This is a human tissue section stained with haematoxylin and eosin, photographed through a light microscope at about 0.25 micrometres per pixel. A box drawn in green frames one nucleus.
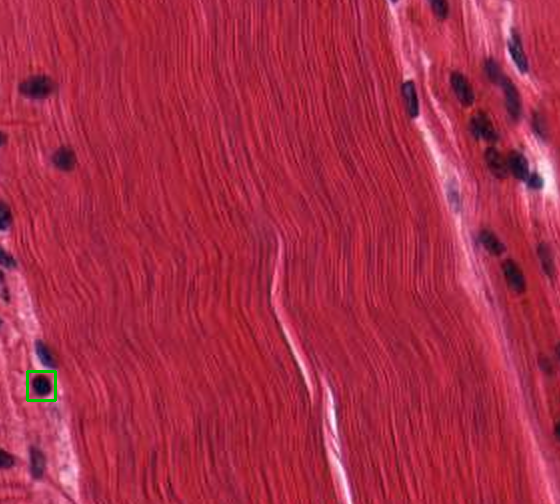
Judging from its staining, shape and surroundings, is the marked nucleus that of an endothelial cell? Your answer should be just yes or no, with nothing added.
no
